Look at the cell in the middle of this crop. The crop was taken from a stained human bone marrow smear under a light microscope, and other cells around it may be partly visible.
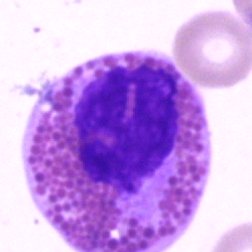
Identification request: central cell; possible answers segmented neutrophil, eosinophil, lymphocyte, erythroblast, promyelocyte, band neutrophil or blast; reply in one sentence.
The cell the crop is centered on is an eosinophil.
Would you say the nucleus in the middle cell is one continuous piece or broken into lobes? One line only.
Just one compact nuclear mass here, round, oval or kidney-shaped.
